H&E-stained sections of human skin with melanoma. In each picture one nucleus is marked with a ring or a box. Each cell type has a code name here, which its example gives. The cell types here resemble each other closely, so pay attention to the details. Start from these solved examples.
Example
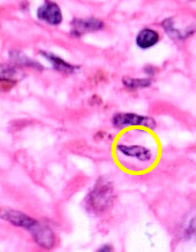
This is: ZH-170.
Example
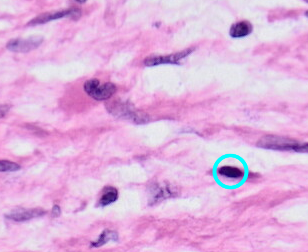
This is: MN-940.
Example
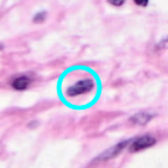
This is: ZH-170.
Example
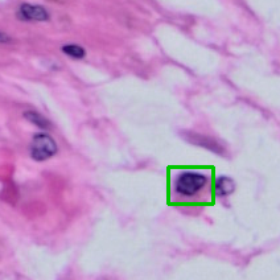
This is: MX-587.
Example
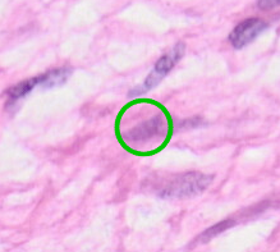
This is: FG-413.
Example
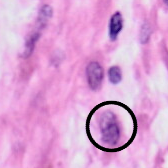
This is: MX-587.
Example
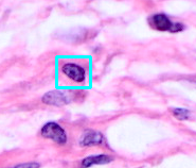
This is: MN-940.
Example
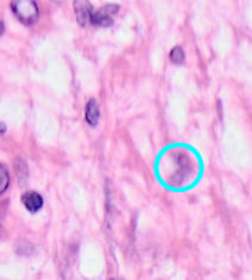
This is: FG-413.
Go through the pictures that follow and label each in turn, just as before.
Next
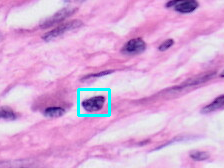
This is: ZH-170.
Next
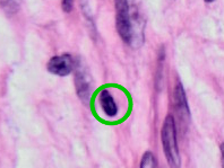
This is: ZH-170.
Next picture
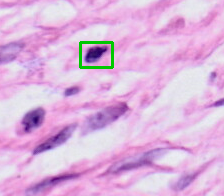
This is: ZH-170.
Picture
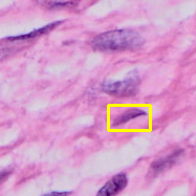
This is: FG-413.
